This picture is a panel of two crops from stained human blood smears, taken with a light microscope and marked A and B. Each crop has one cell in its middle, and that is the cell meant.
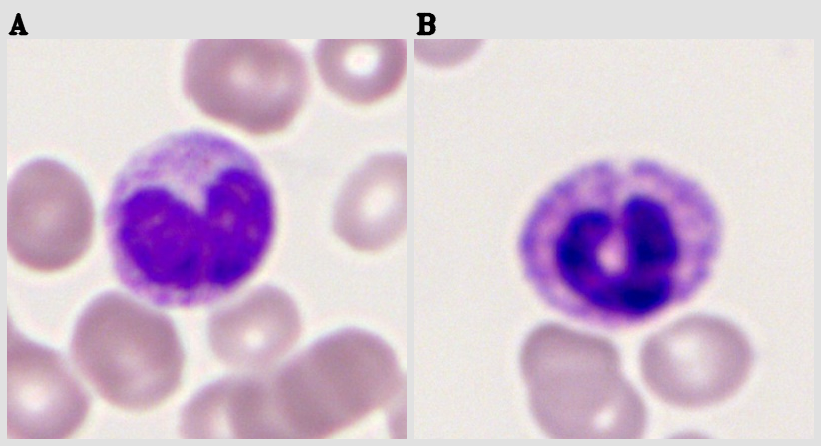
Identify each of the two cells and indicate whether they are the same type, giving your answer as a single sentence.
Yes, the same answer goes for both crops, namely band neutrophils.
